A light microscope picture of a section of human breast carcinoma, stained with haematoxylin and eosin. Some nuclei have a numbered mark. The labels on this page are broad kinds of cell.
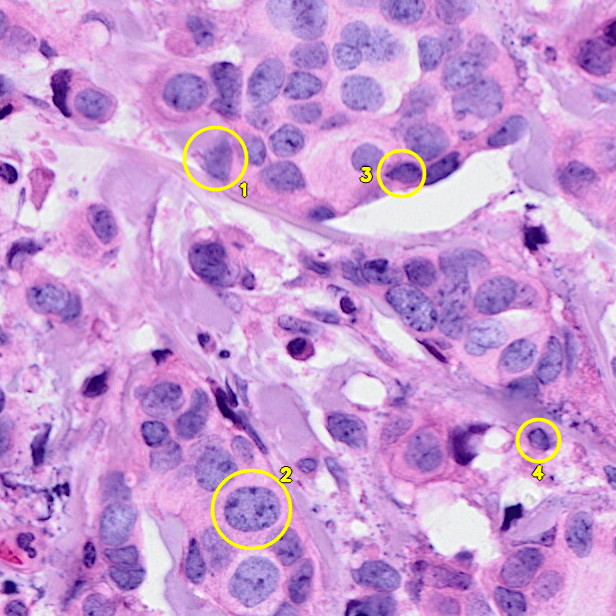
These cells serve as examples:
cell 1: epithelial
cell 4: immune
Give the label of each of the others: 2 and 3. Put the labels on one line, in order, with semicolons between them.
epithelial; epithelial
